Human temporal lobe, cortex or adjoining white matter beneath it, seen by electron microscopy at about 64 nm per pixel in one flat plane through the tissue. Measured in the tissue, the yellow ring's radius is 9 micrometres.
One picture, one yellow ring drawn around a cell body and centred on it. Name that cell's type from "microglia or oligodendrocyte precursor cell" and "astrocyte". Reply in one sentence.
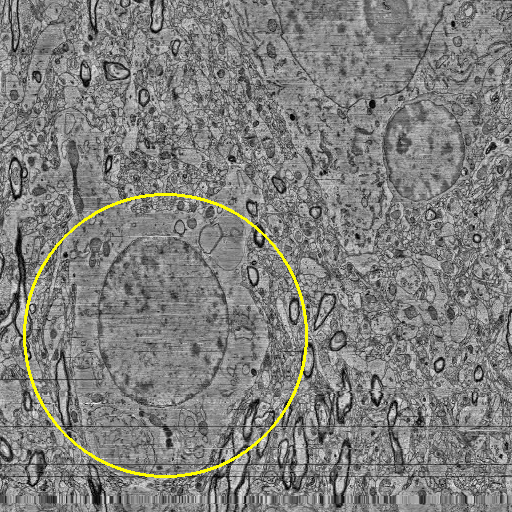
Centred in the ring is an astrocyte.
